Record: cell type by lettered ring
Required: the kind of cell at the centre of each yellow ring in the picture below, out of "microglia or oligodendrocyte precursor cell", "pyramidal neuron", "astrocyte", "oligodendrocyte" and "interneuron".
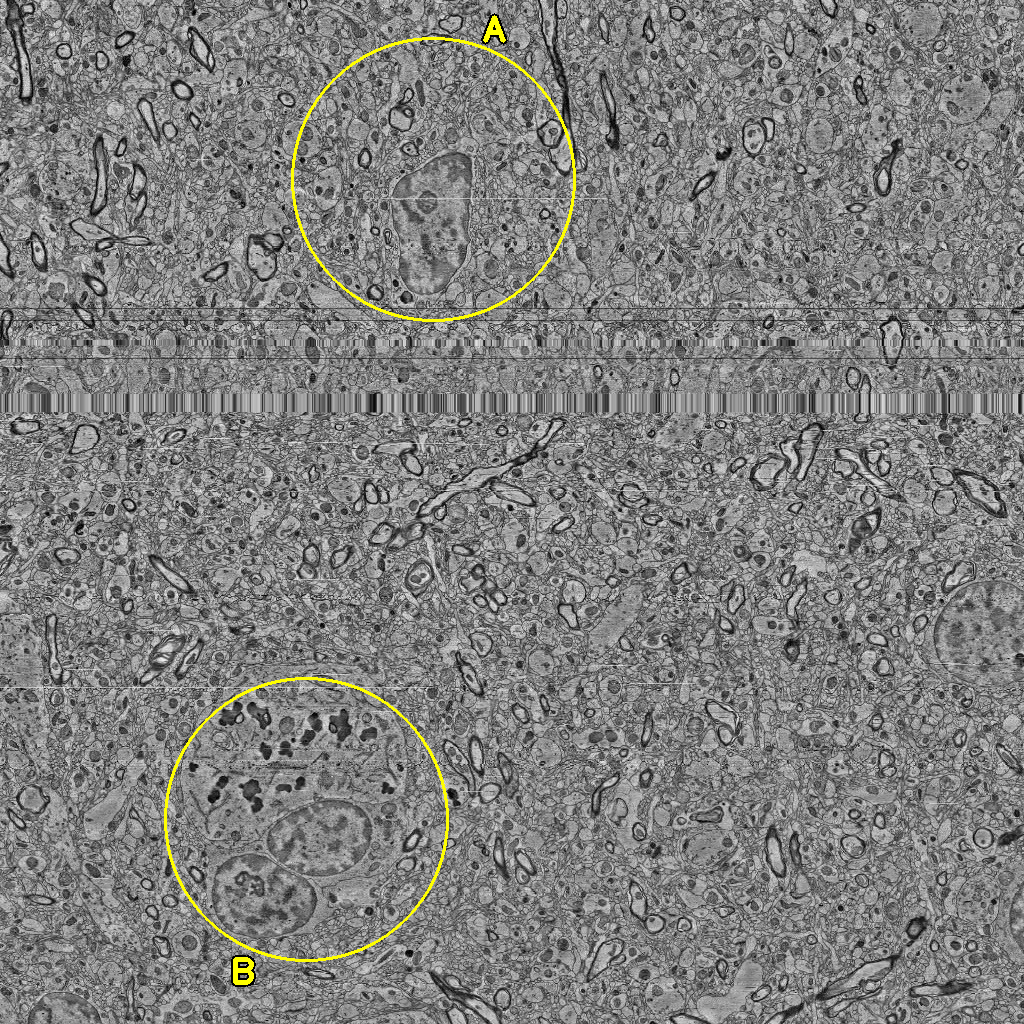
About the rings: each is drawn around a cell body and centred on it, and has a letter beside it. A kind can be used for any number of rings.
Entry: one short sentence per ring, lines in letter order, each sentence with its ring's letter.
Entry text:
At ring A we have a microglial cell or oligodendrocyte precursor cell.
At ring B we have an oligodendrocyte.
